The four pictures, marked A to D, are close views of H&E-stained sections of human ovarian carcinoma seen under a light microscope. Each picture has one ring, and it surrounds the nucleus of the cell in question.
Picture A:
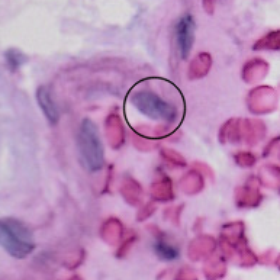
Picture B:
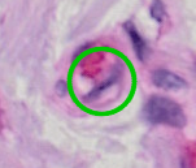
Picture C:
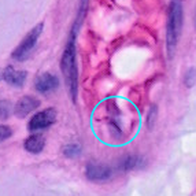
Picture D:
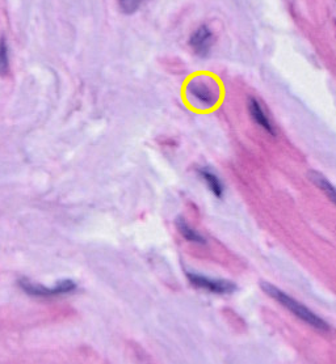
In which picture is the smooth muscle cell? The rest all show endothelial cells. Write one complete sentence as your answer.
The cell in picture D is the smooth muscle cell.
